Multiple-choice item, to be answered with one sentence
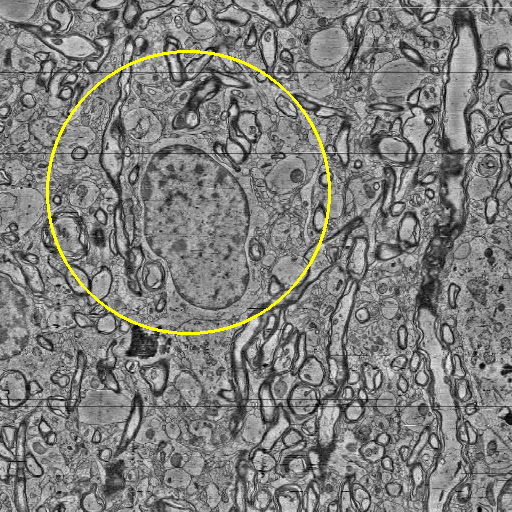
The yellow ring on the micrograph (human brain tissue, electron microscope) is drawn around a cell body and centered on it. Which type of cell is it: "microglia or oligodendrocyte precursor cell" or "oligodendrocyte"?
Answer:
The ring is centered on a microglial cell or oligodendrocyte precursor cell.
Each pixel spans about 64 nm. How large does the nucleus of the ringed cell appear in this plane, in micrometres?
In this plane, approximately 11 by 7 micrometers, and clearly longer than it is wide.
